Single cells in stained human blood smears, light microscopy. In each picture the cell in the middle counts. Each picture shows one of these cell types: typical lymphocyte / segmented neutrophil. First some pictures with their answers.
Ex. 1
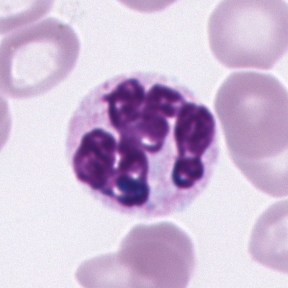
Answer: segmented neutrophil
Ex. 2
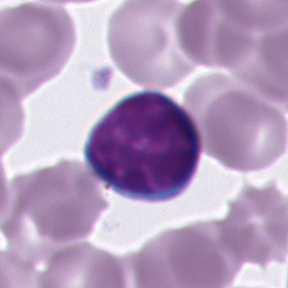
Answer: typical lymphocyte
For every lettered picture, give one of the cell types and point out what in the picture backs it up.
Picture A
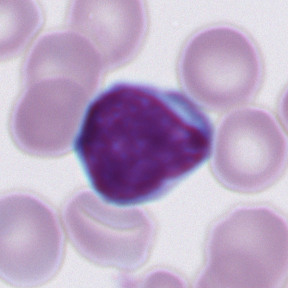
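Label: typical lymphocyte. The nucleus is a single unlobed mass.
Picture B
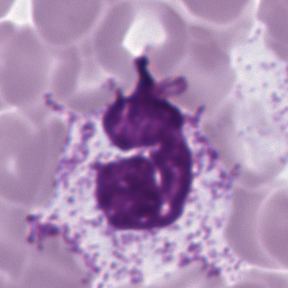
Label: segmented neutrophil. The cytoplasm is plentiful and very pale, almost colourless.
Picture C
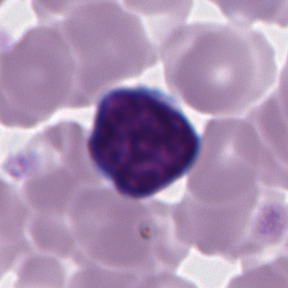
Label: typical lymphocyte. The nucleus is a single unlobed mass.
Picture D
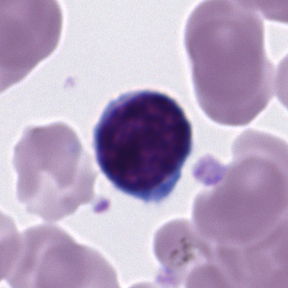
Label: typical lymphocyte. The cytoplasm forms only a thin rim around the nucleus.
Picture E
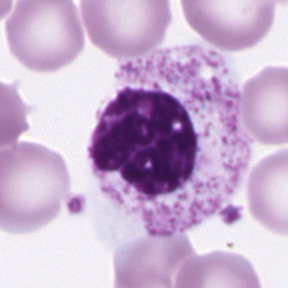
Label: segmented neutrophil. The cytoplasm is abundant and very pale, almost colourless.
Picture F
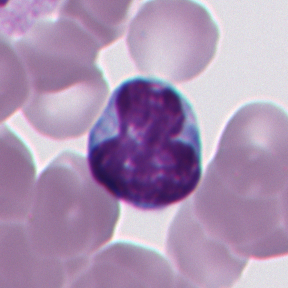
Label: typical lymphocyte. The nucleus fills most of the cell.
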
